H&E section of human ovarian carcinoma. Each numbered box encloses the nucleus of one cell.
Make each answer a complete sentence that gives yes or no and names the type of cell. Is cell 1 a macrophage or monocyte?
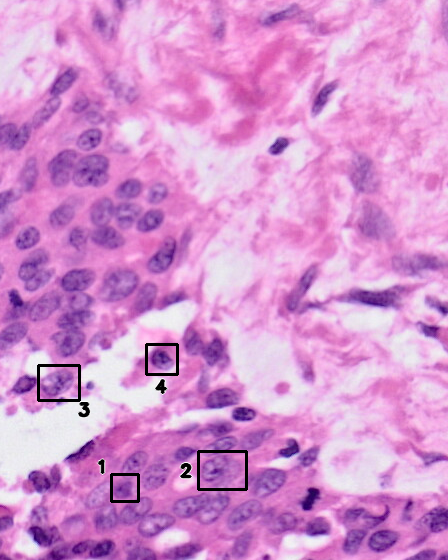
No, the cell carrying number 1 is a carcinoma cell, not a macrophage or monocyte.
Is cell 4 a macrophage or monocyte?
Yes, the cell with the number 4 is a macrophage or monocyte.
